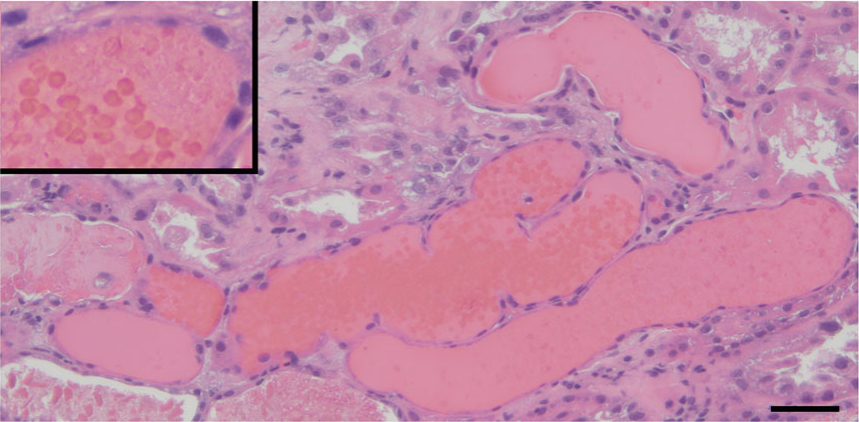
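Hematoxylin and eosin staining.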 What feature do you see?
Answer: Erythrocyte cast.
